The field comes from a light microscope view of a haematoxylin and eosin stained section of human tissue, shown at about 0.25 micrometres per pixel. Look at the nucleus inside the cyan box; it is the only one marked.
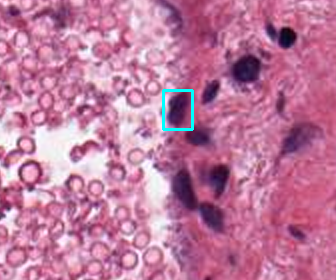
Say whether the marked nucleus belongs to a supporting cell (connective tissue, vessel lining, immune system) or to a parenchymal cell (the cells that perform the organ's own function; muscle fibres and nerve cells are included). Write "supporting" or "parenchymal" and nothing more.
supporting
